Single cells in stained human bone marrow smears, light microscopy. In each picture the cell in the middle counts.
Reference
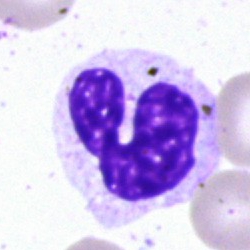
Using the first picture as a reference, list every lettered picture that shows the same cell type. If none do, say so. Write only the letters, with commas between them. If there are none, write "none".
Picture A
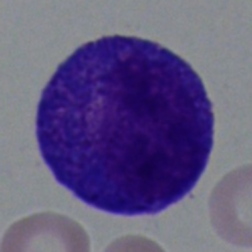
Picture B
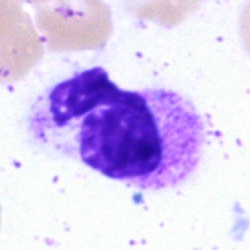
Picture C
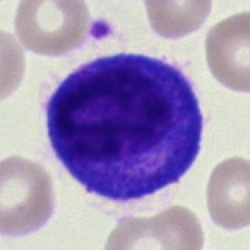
B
